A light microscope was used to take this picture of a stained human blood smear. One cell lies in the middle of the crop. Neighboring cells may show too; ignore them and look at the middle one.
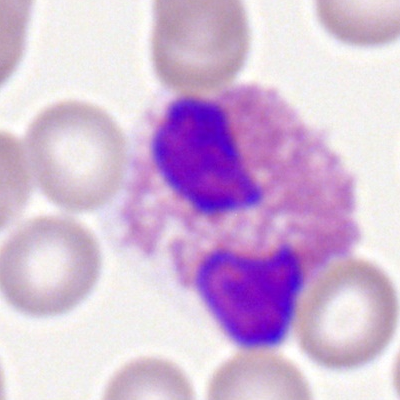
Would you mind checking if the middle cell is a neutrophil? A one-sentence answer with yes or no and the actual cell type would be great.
No, the central cell is not a neutrophil, being instead an eosinophil.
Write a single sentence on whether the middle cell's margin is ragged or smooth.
The outer contour of the cell is irregular, with ragged portions or projections along it.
